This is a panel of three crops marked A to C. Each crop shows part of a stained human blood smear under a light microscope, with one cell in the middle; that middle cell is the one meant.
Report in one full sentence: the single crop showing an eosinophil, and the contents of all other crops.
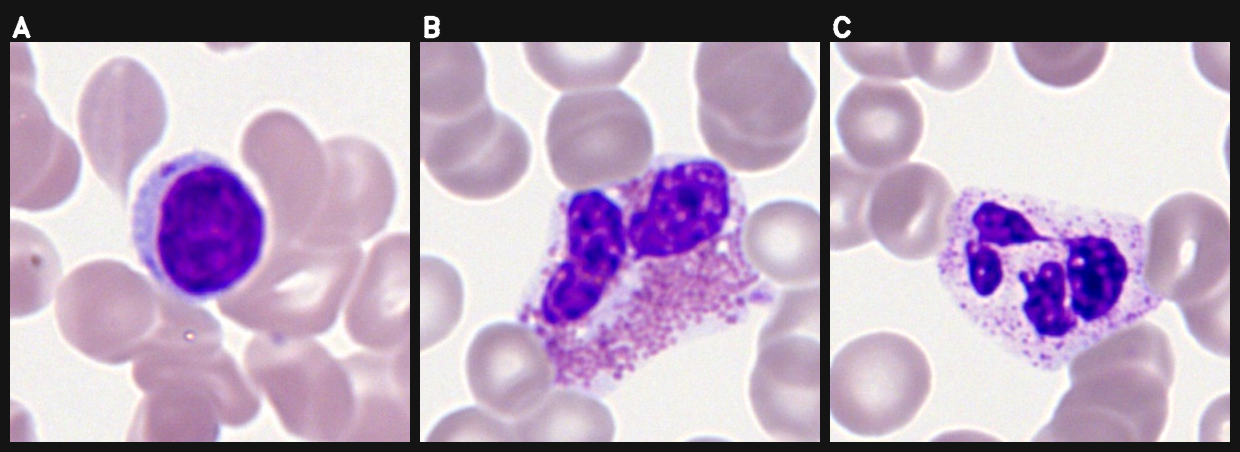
What crop B shows is an eosinophil, while crop A is a lymphocyte and crop C is a neutrophil.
